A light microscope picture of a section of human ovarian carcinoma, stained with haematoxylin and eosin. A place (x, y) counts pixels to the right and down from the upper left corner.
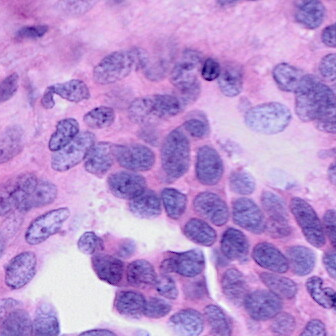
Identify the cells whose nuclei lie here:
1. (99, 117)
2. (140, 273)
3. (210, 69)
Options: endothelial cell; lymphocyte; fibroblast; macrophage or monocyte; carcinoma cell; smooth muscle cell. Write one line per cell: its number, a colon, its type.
1: macrophage or monocyte
2: carcinoma cell
3: lymphocyte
